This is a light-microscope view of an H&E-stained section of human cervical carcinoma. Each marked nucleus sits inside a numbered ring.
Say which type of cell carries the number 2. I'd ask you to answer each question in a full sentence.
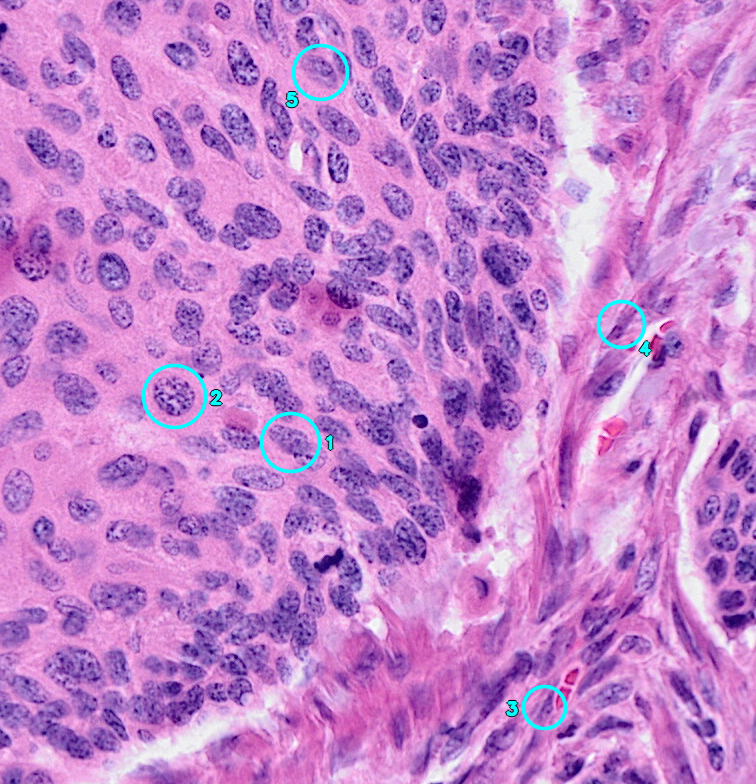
Cell number 2 in this section is a squamous carcinoma cell.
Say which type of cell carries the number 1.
The cell that bears the number 1 is a squamous carcinoma cell.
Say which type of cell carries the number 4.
Cell 4 in the field of view is a fibroblast.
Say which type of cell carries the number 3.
The one numbered 3 among the marked cells is an endothelial cell.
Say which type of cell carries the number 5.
The cell numbered 5 represents a squamous carcinoma cell.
